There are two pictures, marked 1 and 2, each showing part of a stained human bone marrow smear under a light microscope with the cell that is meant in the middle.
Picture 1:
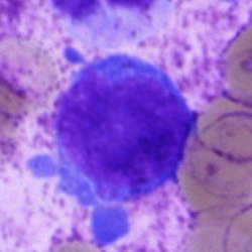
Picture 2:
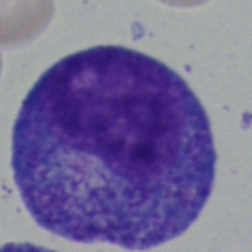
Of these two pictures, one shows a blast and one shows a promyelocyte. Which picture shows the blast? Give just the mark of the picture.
1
